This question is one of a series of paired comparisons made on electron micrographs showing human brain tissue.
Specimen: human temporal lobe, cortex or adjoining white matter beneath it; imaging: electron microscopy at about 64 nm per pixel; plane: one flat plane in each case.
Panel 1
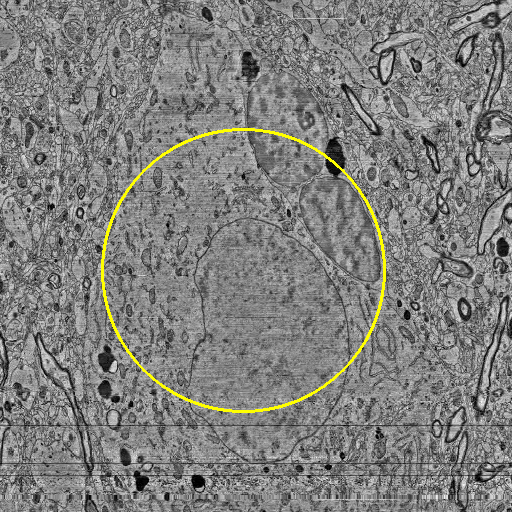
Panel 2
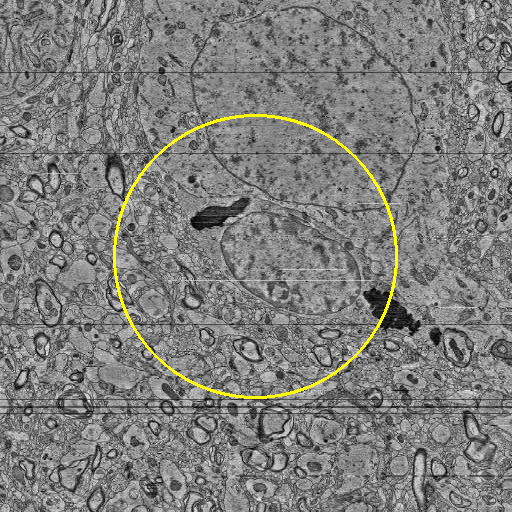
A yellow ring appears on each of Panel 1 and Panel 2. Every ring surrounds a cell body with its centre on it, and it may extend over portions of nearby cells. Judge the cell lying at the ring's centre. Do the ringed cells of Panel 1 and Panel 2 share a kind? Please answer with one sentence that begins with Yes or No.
No, the ring-centre cell in Panel 1 and the one in Panel 2 are of two kinds.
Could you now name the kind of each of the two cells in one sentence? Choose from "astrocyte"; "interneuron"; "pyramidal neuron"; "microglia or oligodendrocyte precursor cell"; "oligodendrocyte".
The first ring encloses a pyramidal neuron; the second ring encloses an oligodendrocyte.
